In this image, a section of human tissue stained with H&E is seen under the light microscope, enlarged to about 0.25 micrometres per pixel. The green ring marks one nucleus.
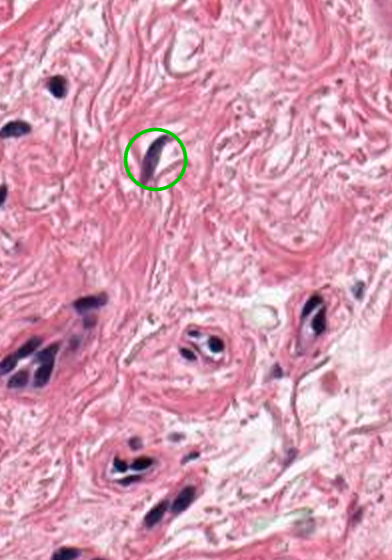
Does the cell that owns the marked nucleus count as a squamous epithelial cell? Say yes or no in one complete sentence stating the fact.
No, the marked nucleus is not the nucleus of a squamous epithelial cell but of a supporting cell.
